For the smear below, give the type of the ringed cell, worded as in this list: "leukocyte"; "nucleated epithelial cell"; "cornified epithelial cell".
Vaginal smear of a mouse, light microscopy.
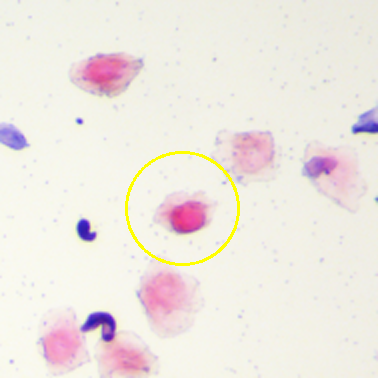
nucleated epithelial cell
